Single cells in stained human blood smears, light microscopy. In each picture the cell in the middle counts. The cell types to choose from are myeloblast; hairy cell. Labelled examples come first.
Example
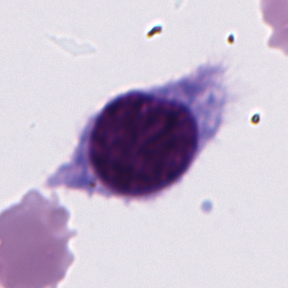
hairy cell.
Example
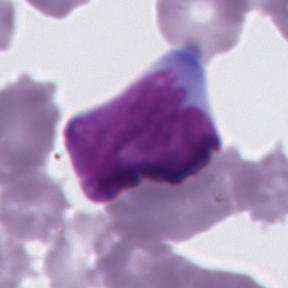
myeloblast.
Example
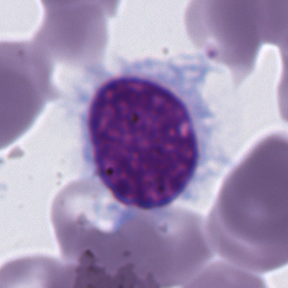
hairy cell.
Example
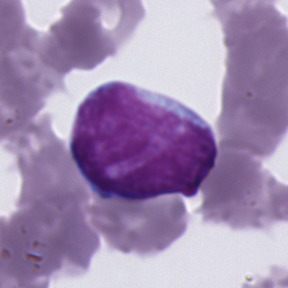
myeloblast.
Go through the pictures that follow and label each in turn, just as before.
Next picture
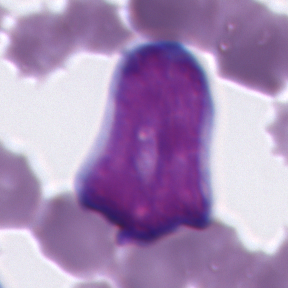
myeloblast.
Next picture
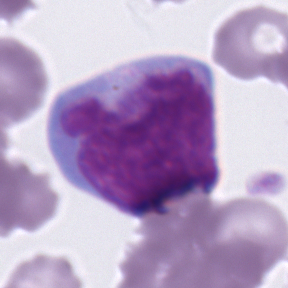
myeloblast.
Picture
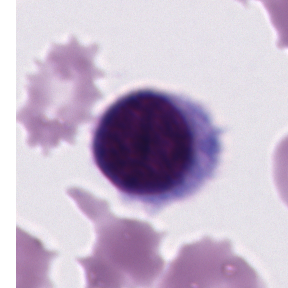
hairy cell.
